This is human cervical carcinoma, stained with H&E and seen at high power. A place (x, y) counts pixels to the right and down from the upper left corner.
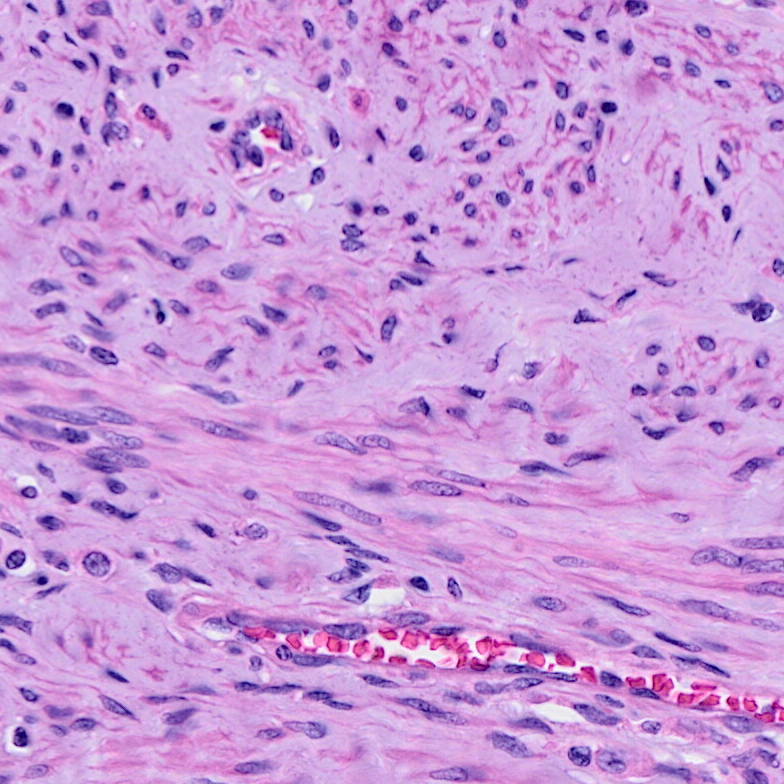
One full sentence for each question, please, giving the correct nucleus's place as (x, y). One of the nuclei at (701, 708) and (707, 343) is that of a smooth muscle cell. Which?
Of these two nuclei, only the one at (707, 343) belongs to a smooth muscle cell.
